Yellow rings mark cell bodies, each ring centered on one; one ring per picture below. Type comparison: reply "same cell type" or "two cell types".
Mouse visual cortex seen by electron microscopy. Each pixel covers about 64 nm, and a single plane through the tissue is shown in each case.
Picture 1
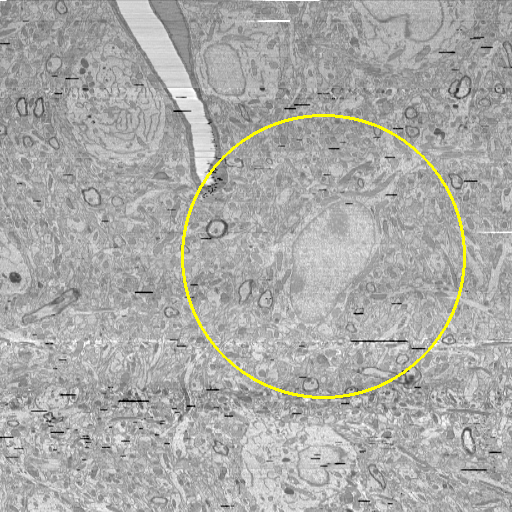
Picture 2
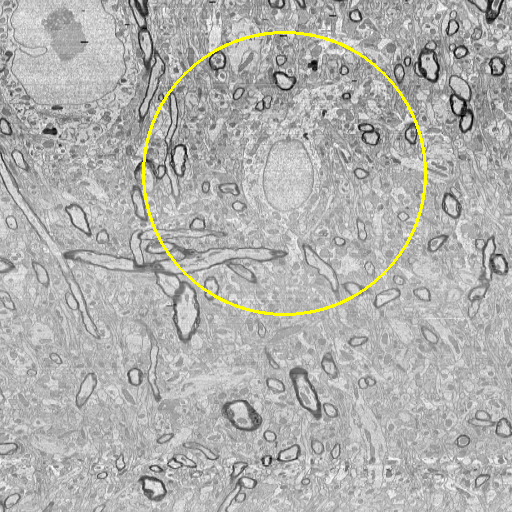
same cell type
